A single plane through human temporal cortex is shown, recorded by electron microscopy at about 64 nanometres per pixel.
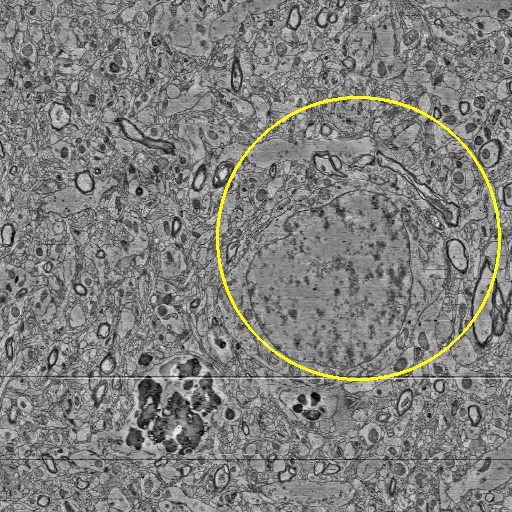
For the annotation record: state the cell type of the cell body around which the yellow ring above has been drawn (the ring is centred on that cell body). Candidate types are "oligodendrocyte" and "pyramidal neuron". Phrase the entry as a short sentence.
The ringed cell is a pyramidal neuron.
